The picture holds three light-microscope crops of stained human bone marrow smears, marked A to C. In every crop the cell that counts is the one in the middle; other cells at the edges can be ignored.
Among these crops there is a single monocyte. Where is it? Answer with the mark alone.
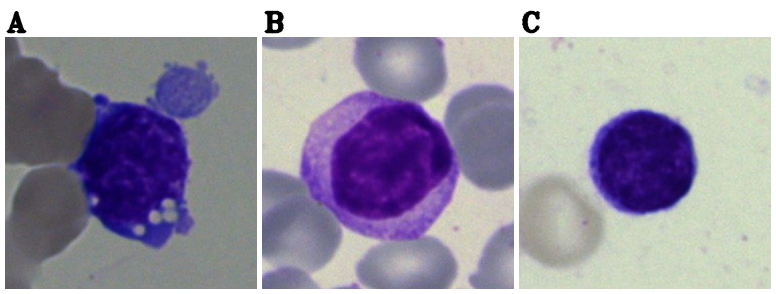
B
